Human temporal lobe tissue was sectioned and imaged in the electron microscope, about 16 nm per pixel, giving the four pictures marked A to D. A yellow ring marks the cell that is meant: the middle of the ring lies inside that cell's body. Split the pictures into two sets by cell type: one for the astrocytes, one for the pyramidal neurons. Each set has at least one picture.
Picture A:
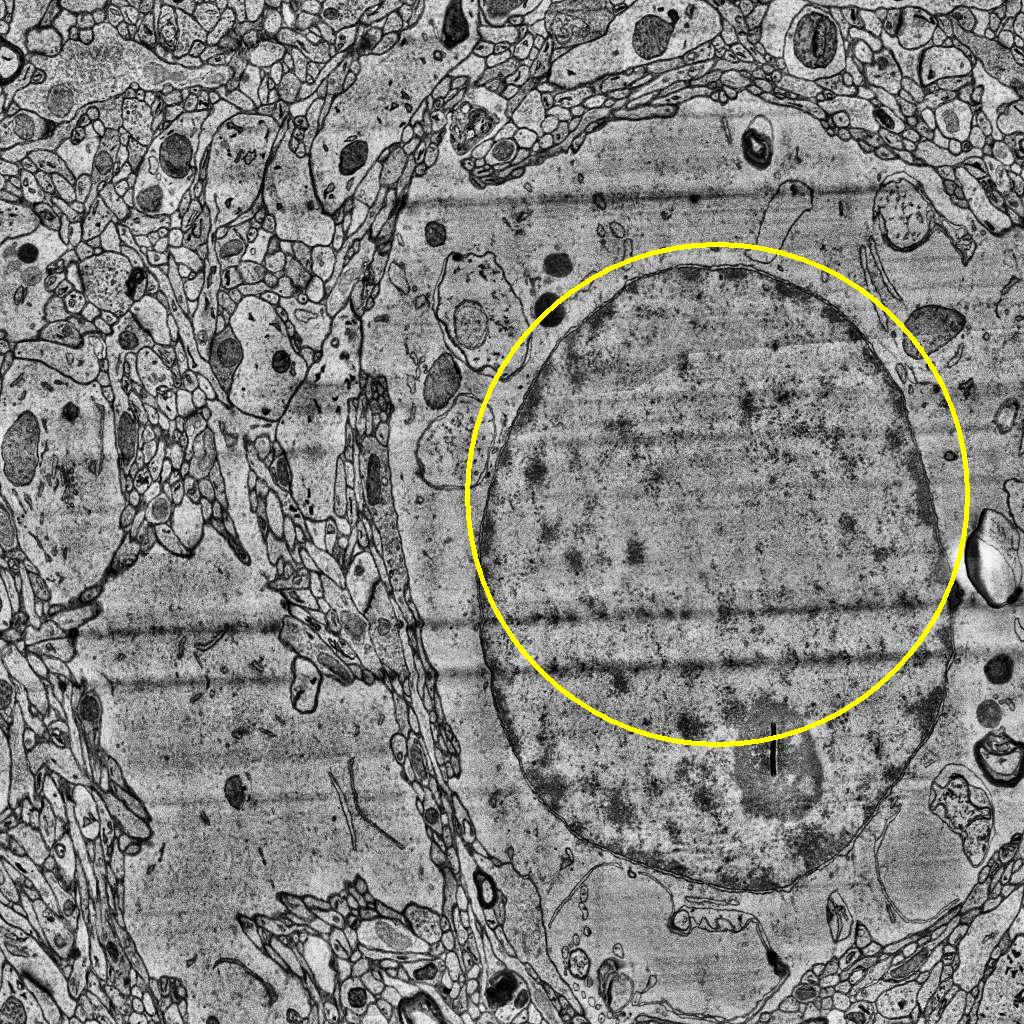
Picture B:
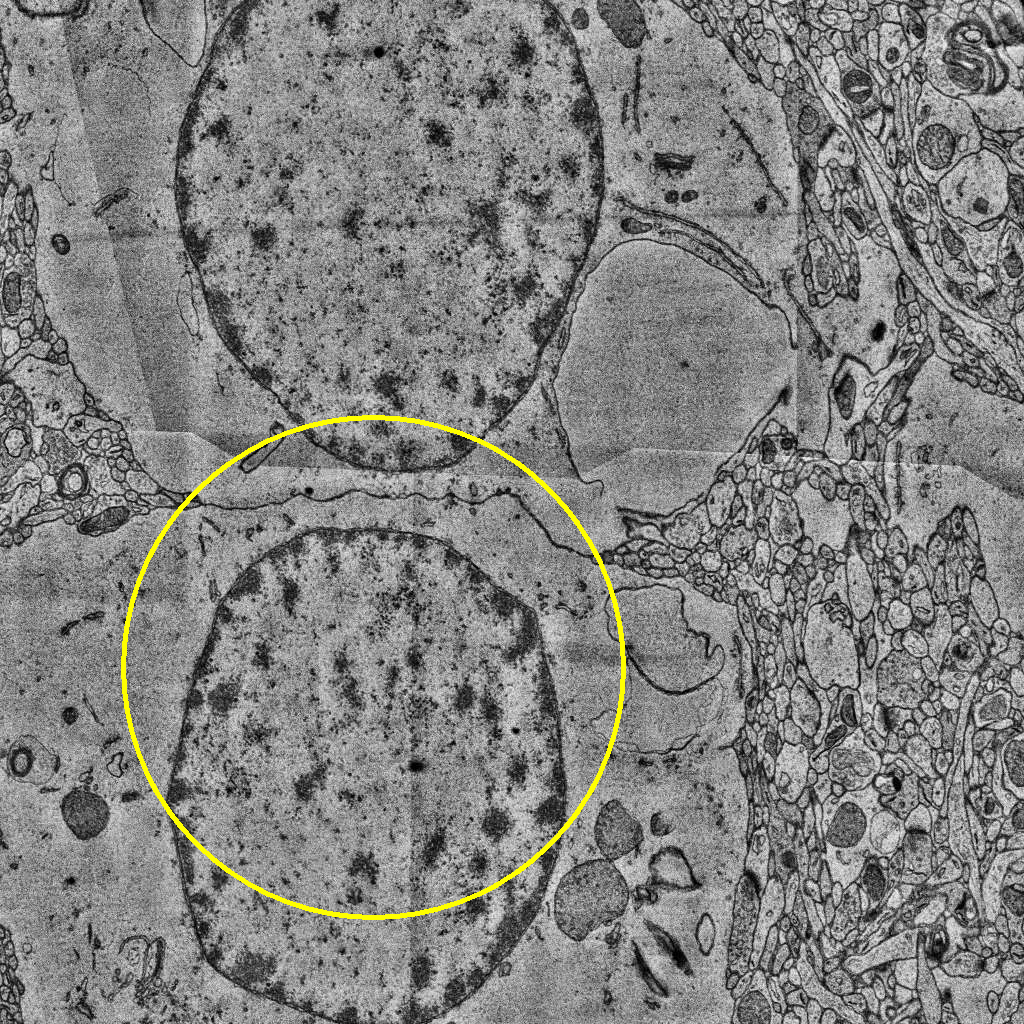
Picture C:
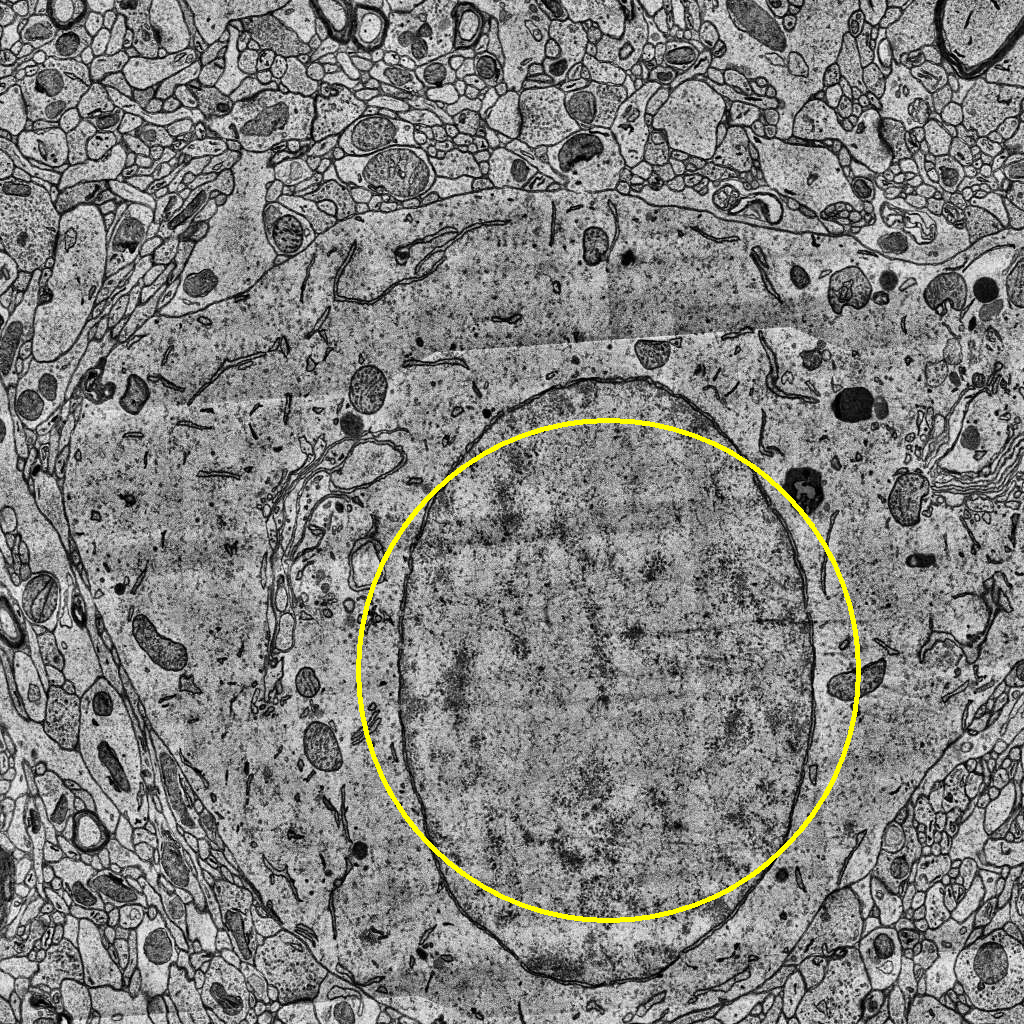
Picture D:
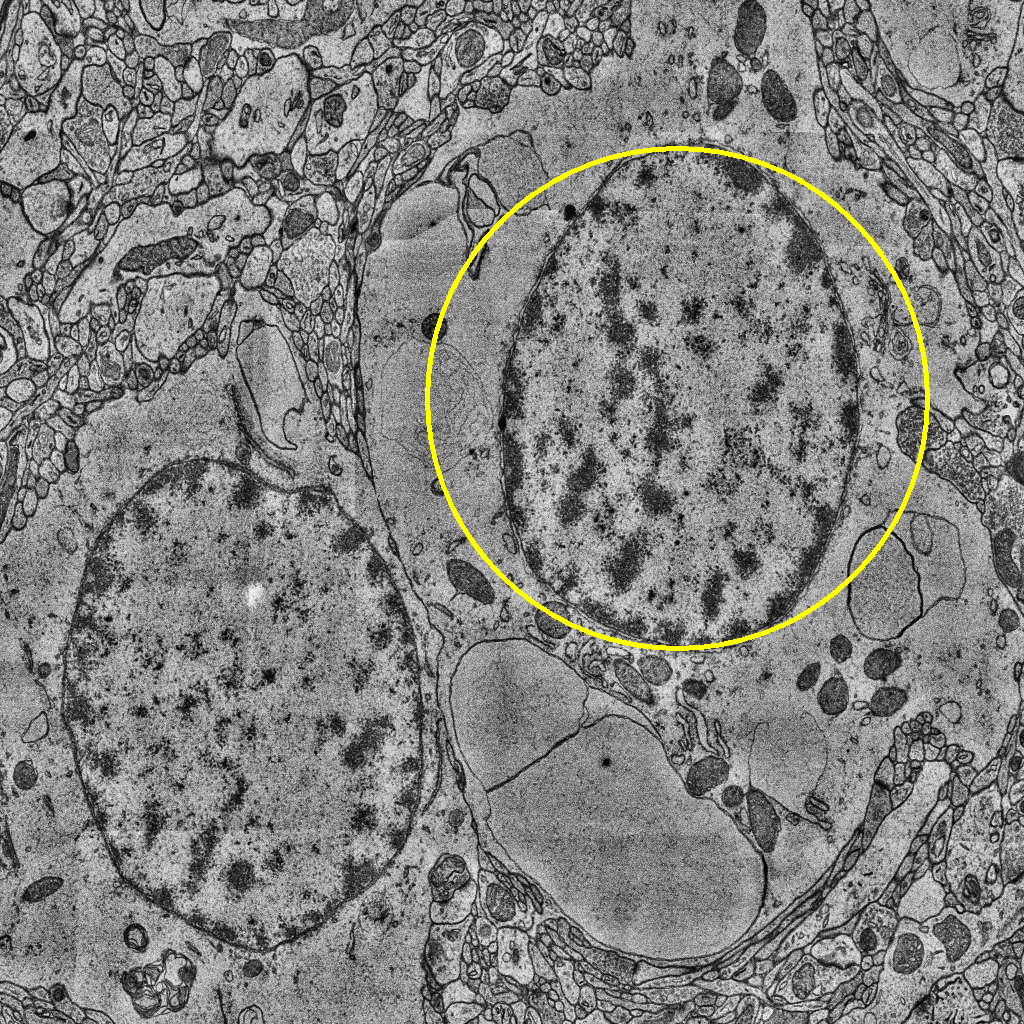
Pictures A, B and D show astrocytes, while picture C shows a pyramidal neuron.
